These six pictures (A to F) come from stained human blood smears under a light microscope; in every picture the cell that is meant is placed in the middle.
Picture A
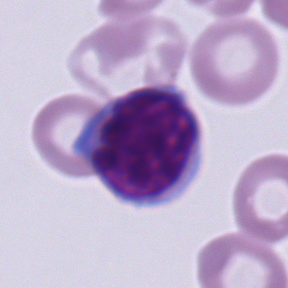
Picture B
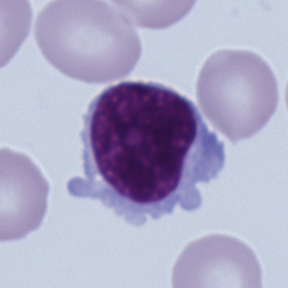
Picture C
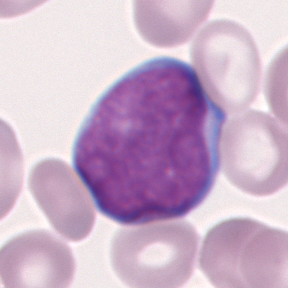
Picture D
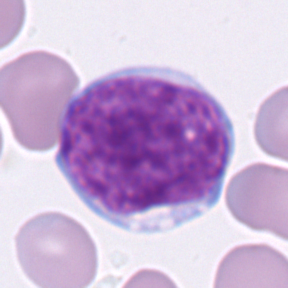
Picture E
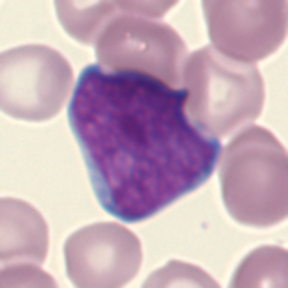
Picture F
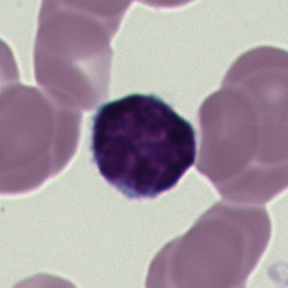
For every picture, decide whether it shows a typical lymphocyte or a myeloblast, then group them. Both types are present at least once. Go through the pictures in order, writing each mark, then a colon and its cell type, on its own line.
A: typical lymphocyte
B: typical lymphocyte
C: myeloblast
D: myeloblast
E: myeloblast
F: typical lymphocyte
